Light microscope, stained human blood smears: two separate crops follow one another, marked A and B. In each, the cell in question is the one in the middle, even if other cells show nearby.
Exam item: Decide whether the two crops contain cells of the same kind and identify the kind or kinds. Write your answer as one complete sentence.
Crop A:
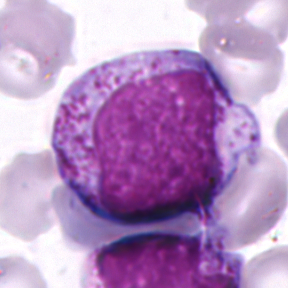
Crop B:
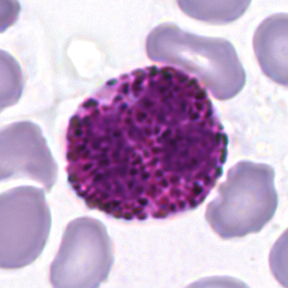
No, crop A is the one with a promyelocyte; crop B has a basophil.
